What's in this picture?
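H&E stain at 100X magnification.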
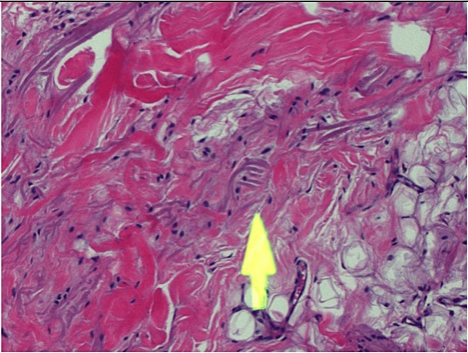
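This is fibrofatty soft tissue made of dense collagenous stroma, bland fibroblasts and mature adipose tissue. Thick, wavy, bright pink collagen bundles take up much of the field, with small, slender, evenly dark nuclei of fibroblasts scattered among them without crowding. At the lower right lie mature fat cells, seen as clear empty spaces outlined by thin membranes.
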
